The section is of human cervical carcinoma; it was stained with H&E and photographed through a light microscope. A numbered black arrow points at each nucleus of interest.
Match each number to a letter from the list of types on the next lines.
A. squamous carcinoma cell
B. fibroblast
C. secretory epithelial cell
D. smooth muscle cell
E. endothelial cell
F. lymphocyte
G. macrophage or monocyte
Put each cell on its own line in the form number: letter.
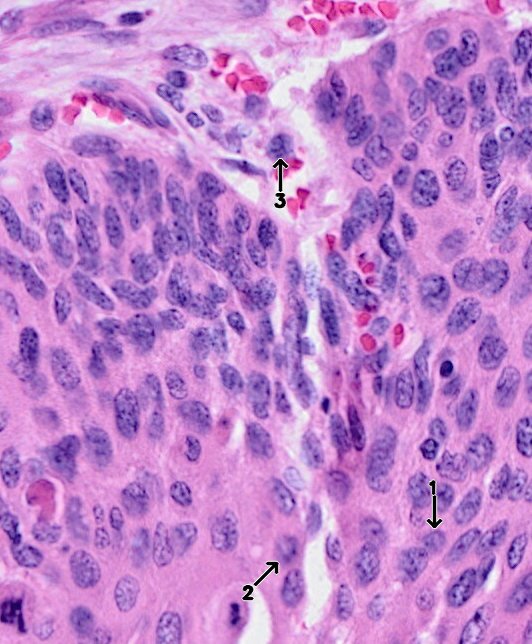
1: A
2: A
3: E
